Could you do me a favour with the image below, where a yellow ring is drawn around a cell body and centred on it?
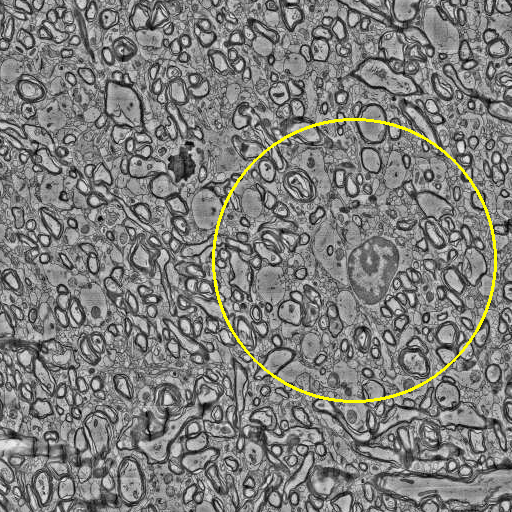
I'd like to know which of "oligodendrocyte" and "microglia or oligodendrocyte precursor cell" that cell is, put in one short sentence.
The cell at the ring's centre is a microglial cell or oligodendrocyte precursor cell.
